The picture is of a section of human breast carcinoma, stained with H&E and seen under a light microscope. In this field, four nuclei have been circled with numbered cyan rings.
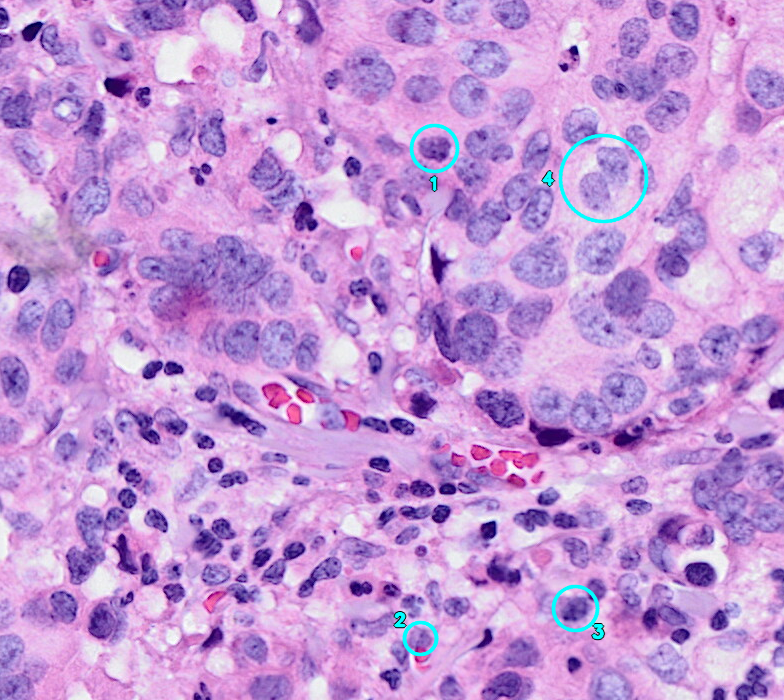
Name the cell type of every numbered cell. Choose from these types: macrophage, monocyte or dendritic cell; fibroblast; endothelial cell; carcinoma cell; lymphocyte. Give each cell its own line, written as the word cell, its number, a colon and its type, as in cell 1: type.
cell 1: carcinoma cell
cell 2: endothelial cell
cell 3: carcinoma cell
cell 4: carcinoma cell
